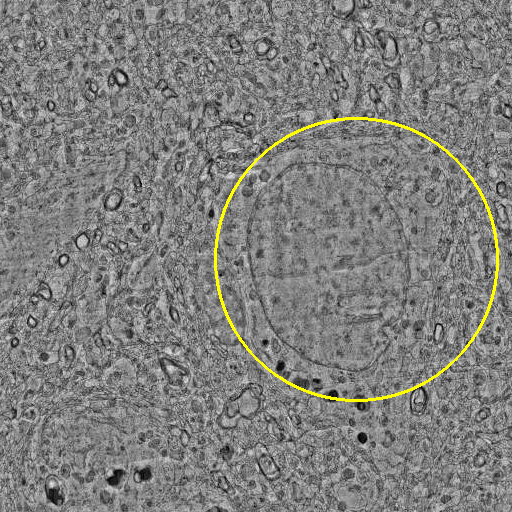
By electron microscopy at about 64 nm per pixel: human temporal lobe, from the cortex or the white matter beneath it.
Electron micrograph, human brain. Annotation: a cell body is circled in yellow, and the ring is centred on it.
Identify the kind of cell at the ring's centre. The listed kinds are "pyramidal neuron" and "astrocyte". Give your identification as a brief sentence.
The circled cell body is that of a pyramidal neuron.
